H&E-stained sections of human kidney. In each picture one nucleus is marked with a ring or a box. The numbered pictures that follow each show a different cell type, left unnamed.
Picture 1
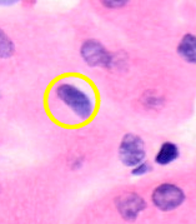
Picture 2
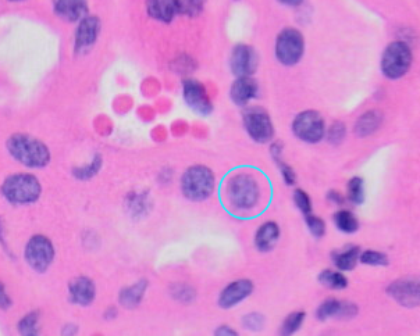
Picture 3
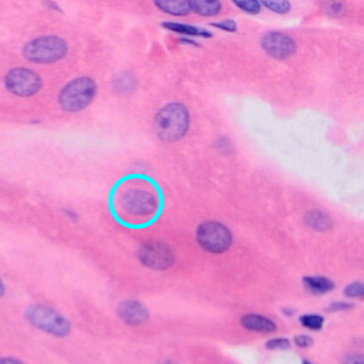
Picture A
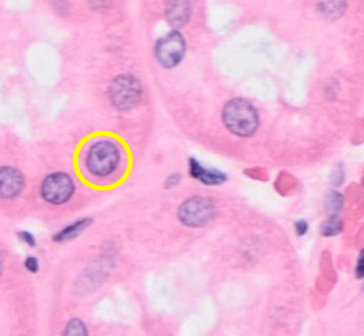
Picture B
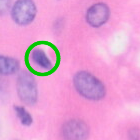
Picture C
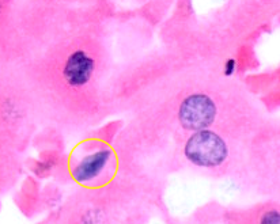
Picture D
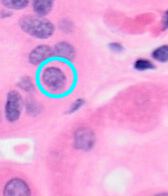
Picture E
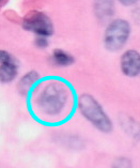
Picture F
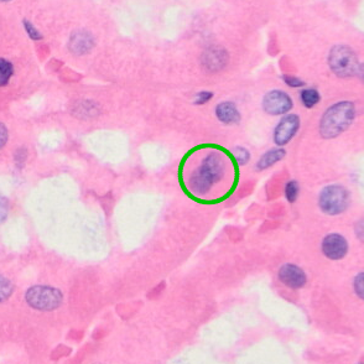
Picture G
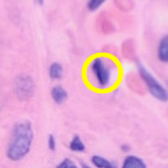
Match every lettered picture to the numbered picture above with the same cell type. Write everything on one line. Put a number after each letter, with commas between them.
A 3, B 1, C 1, D 2, E 2, F 3, G 1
